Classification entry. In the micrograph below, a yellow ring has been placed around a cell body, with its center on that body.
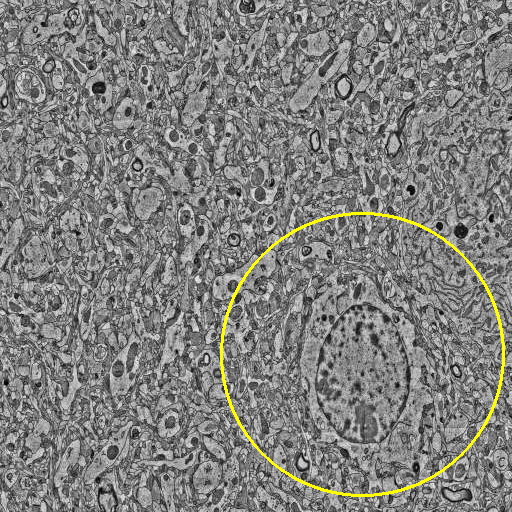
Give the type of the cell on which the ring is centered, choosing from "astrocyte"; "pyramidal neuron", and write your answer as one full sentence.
The cell body at the center of the yellow ring belongs to an astrocyte.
